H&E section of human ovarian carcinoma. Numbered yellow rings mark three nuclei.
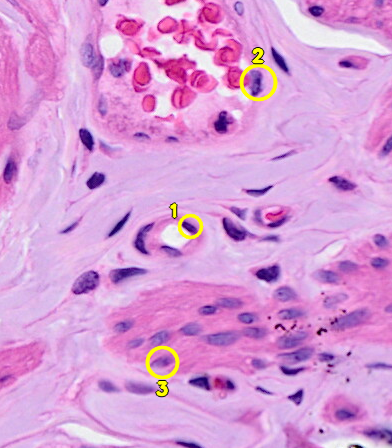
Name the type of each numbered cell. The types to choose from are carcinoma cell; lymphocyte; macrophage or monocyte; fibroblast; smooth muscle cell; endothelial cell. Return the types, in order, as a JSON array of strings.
["endothelial cell", "endothelial cell", "smooth muscle cell"]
